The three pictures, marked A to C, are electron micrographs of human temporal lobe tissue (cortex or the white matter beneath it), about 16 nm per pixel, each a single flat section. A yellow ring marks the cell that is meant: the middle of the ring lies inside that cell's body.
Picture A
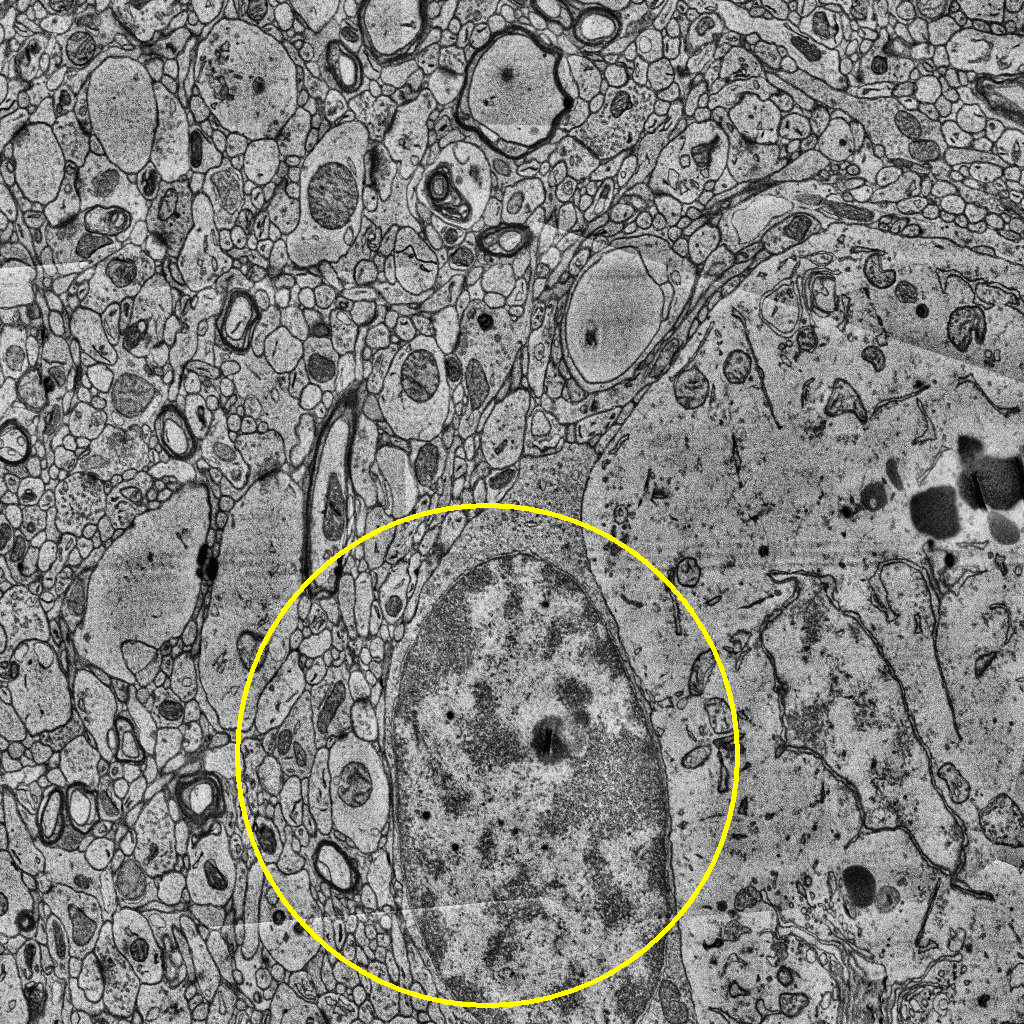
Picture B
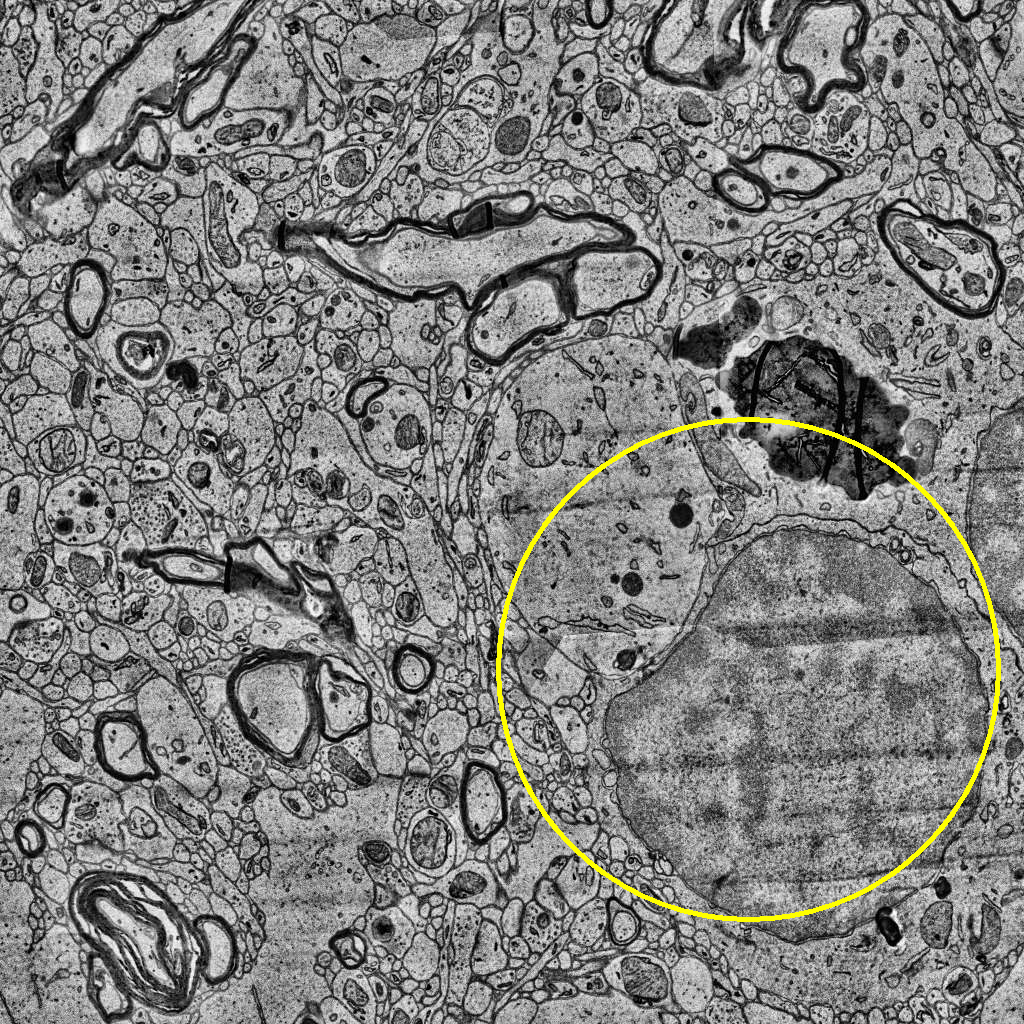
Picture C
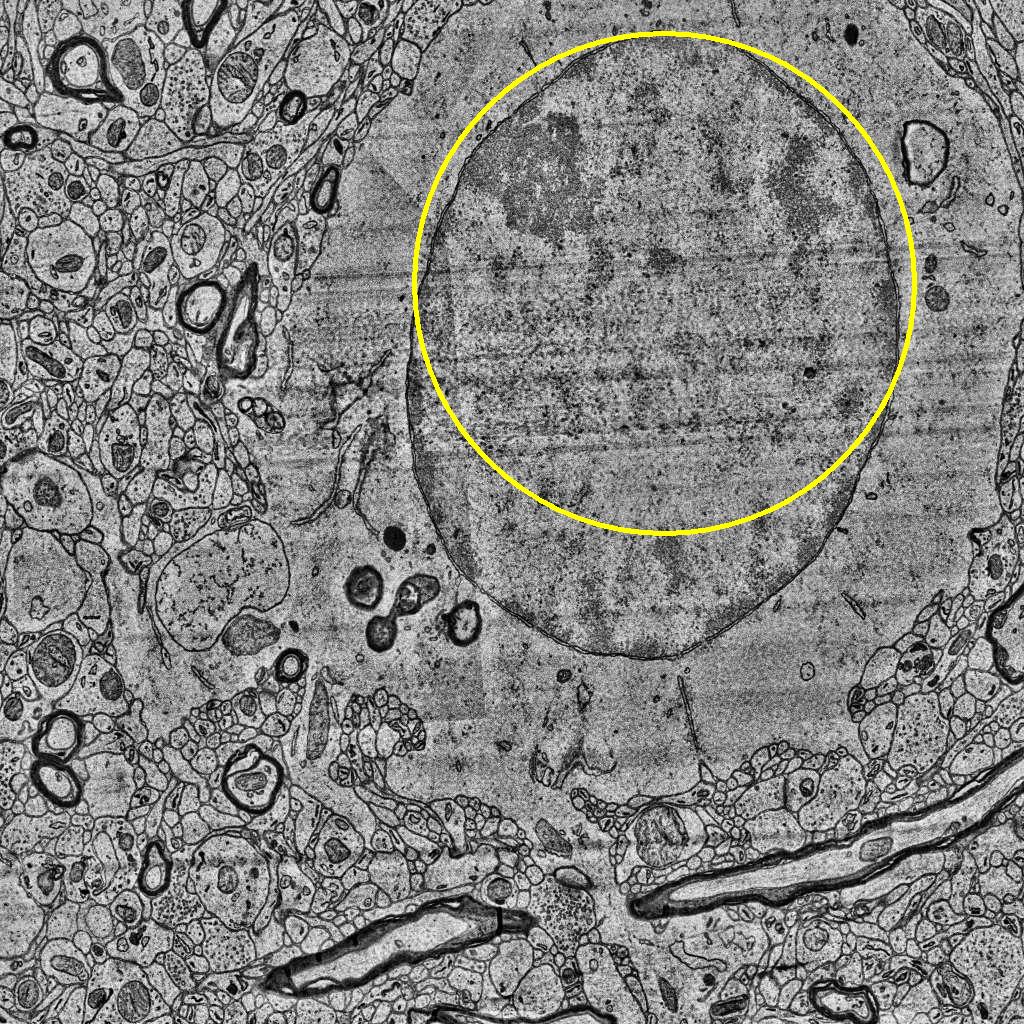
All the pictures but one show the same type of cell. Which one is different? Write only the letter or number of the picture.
C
